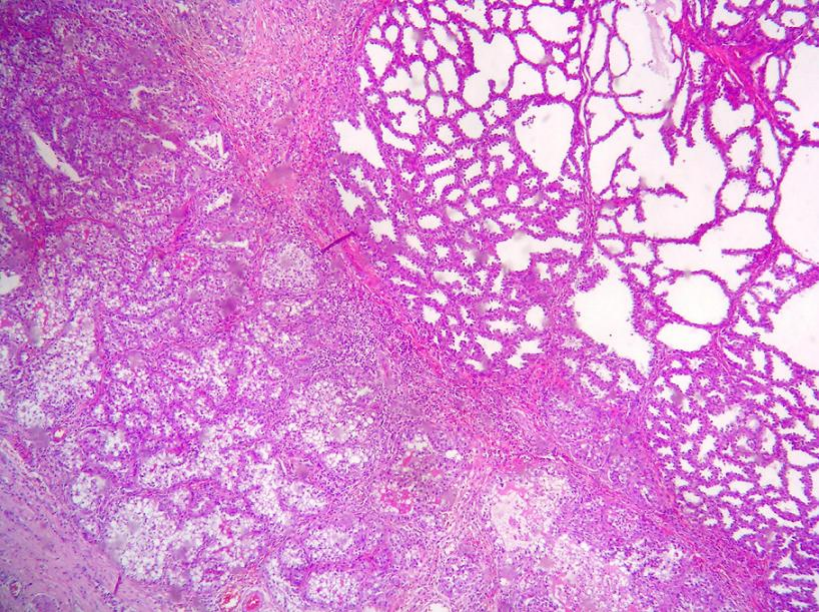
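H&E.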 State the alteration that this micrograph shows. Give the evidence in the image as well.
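On the right, glands are widely dilated into large empty spaces. The dilated spaces are separated by thin branching septa lined by a single layer of epithelium.
Conclusion: cystic changes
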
